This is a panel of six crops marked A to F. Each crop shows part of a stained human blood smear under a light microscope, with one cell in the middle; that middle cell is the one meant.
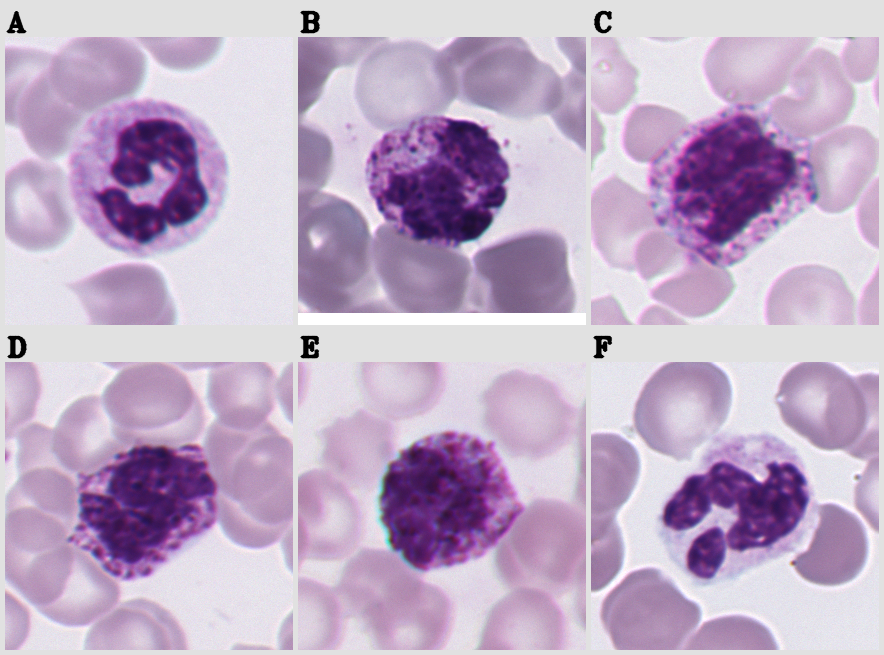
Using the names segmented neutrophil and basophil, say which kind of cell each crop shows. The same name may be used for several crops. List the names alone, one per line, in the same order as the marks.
segmented neutrophil
basophil
basophil
basophil
basophil
segmented neutrophil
